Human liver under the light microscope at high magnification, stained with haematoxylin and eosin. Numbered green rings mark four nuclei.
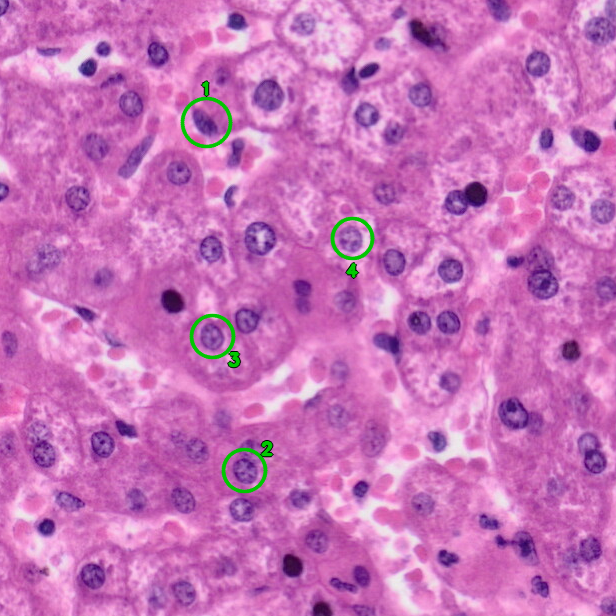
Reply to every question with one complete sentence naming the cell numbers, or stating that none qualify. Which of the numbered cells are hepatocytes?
Regarding the numbered cells 2, 3 and 4, these are hepatocytes.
